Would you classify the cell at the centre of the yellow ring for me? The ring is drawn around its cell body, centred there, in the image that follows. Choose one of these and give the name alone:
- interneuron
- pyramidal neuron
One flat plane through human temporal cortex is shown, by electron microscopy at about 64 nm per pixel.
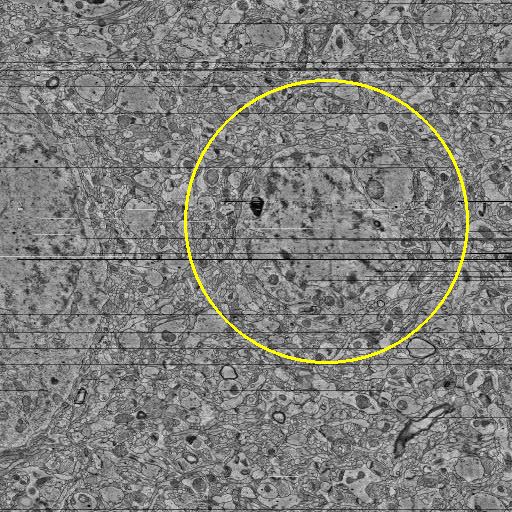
interneuron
